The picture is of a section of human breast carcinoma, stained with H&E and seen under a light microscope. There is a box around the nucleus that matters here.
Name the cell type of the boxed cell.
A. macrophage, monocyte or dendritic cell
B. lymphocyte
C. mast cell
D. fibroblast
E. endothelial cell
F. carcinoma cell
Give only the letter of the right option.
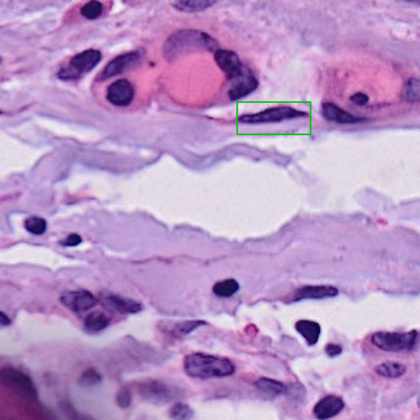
D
